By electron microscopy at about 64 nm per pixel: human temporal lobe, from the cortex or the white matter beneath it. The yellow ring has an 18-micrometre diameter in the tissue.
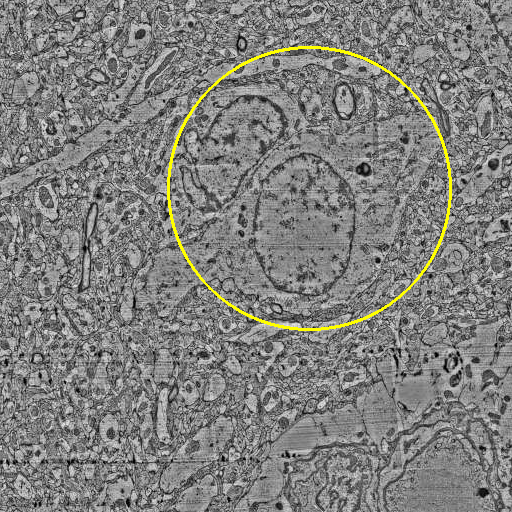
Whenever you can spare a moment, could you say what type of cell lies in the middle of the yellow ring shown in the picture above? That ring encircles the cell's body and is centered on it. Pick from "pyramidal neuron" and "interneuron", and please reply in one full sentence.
The cell whose body sits at the middle of the yellow ring is a pyramidal neuron.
